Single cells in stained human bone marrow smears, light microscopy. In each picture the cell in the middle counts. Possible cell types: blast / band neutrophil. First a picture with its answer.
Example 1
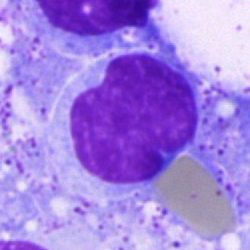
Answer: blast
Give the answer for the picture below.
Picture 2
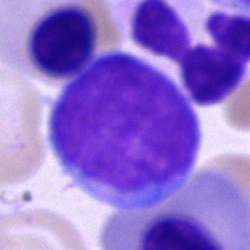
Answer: blast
